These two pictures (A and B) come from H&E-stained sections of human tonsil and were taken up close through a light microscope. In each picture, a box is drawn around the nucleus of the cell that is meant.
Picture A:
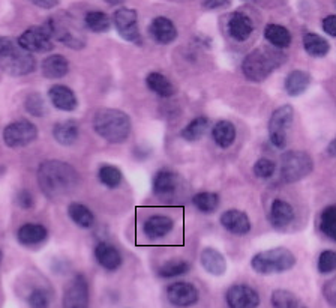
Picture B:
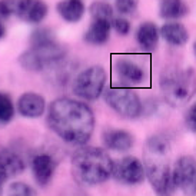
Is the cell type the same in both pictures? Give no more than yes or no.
no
